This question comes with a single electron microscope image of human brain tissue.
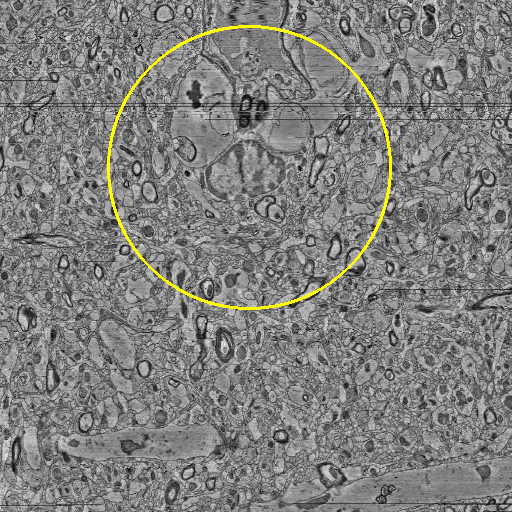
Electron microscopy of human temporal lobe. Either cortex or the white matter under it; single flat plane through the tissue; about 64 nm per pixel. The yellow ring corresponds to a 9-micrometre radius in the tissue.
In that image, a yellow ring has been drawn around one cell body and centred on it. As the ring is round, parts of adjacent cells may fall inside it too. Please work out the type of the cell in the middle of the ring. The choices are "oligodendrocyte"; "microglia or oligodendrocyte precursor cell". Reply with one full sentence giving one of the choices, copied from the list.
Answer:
Of the choices, a microglial cell or oligodendrocyte precursor cell is the cell sitting in the middle of the ring.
